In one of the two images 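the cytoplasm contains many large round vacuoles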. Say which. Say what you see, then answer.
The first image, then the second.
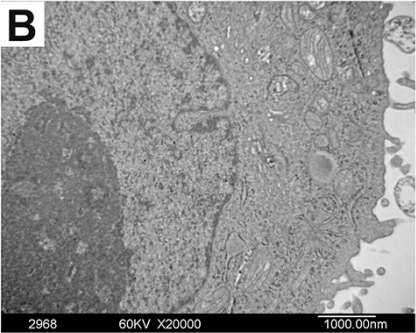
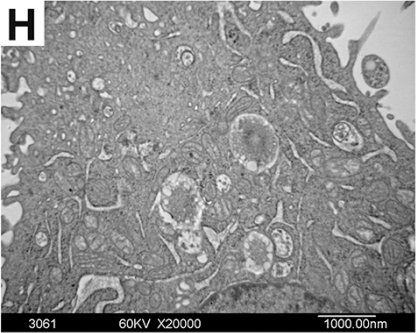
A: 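The second image. Second image: several large round vacuoles with pale granular contents lie in the cytoplasm. First image: the cytoplasm is dense with mitochondria and small vesicles but no large vacuoles.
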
